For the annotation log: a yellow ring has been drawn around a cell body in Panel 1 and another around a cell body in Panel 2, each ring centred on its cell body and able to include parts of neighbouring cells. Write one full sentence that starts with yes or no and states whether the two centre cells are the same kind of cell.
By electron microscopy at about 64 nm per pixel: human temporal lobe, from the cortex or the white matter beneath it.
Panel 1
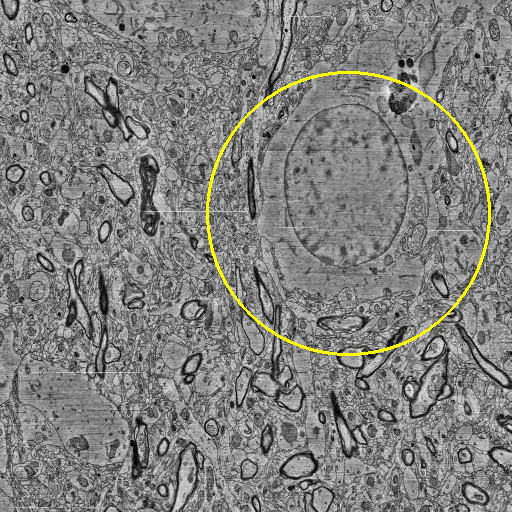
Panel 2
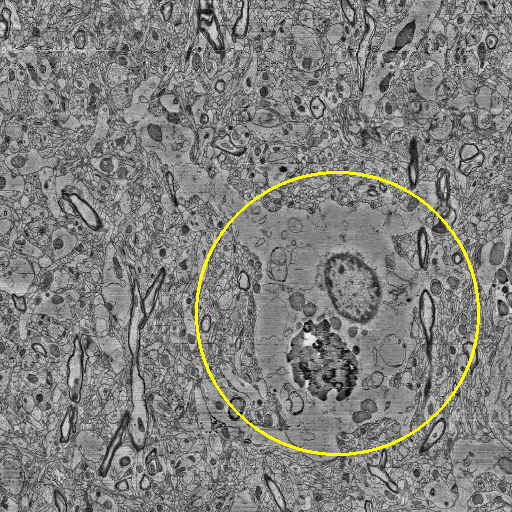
Yes, the two centre cells are the same kind of cell.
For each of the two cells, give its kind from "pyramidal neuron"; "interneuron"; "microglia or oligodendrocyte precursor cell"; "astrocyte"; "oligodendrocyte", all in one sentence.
In the first picture and in the second, the ring is centred on an astrocyte.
